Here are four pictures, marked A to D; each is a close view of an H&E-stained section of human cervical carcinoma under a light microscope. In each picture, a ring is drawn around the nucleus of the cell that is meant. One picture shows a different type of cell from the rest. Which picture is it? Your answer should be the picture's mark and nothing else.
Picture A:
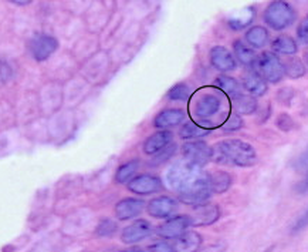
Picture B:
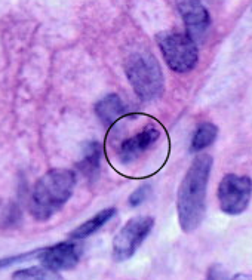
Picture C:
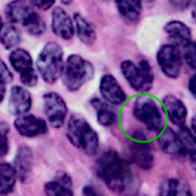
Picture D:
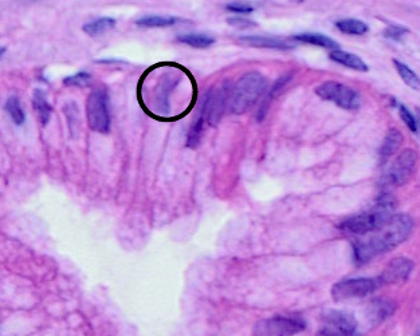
C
